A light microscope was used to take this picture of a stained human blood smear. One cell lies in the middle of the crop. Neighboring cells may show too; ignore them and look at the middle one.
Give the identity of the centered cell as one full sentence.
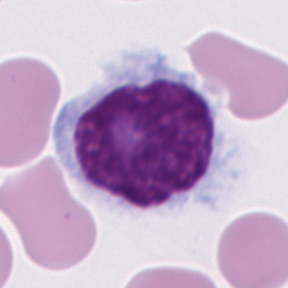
Located at the centre of the crop is a hairy cell.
